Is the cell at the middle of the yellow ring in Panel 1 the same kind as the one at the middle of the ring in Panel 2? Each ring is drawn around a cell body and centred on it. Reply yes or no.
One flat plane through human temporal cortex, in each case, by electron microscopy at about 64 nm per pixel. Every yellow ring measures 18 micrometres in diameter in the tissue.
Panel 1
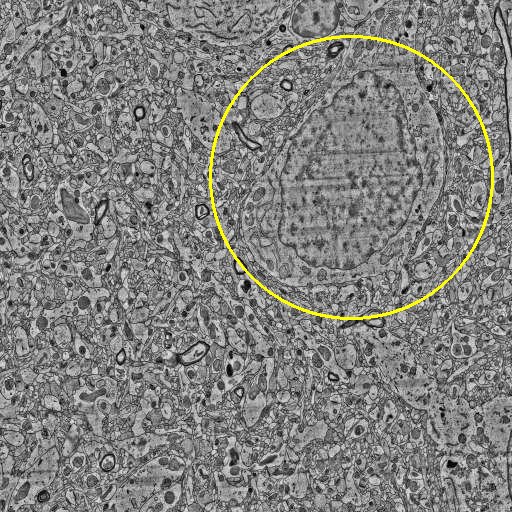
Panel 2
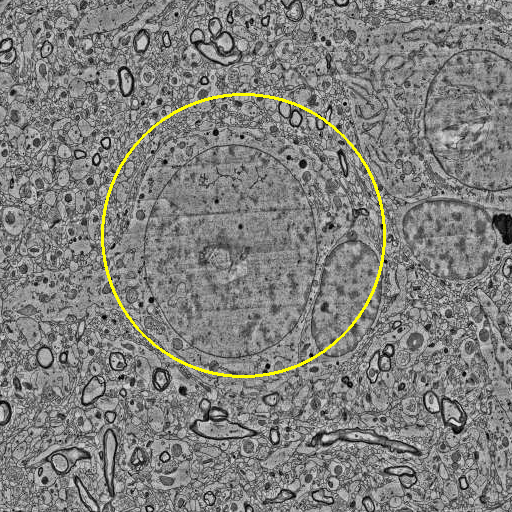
no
